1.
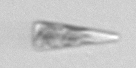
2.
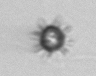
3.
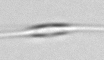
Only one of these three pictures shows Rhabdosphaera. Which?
Picture 2.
